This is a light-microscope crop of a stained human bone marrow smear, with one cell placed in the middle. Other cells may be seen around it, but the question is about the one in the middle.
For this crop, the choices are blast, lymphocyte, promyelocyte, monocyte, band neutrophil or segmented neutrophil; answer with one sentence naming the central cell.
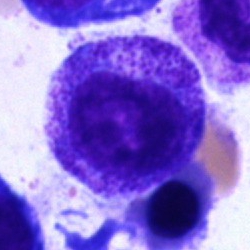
The cell shown in the center of this light-microscope crop is a promyelocyte.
